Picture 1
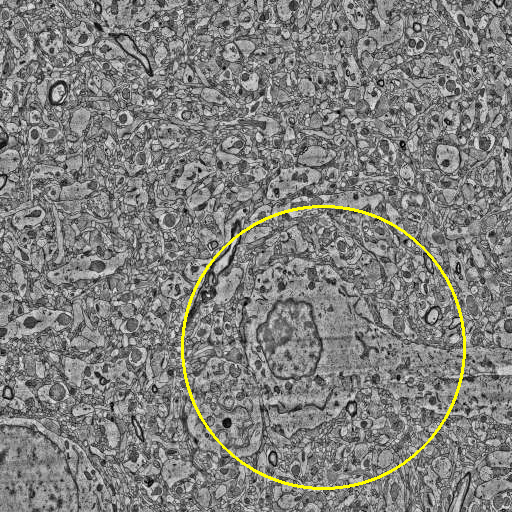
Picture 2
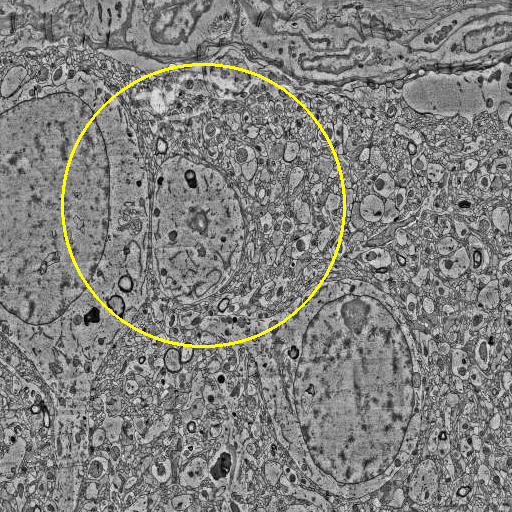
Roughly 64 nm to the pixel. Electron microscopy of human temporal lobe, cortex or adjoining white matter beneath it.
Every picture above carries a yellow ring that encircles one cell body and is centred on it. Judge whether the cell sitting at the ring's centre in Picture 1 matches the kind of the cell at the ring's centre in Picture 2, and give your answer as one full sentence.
Yes, the cells centred in the rings of Pictures 1 and 2 belong to one kind.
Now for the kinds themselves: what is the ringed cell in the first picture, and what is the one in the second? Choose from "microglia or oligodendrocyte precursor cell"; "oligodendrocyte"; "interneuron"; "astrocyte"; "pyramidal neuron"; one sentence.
Each of the two rings is centred on a pyramidal neuron.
